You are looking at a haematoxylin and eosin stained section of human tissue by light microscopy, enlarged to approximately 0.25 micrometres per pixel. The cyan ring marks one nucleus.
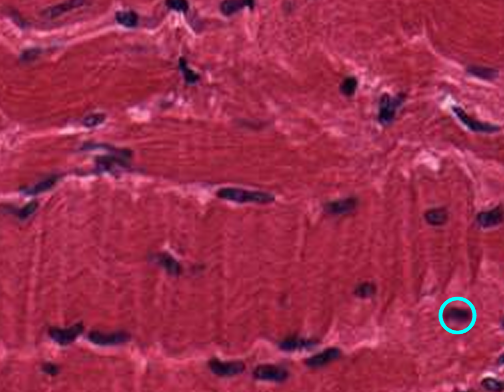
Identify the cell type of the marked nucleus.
skeletal muscle fibre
